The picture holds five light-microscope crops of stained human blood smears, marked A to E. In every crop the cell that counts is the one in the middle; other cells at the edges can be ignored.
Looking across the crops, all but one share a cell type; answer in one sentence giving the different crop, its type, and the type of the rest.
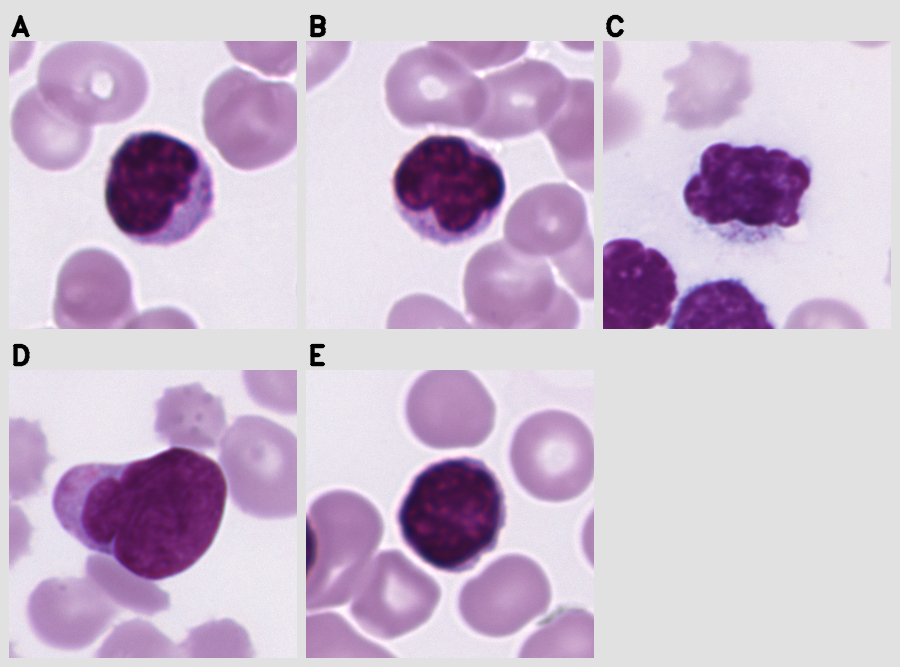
Every crop but one shows typical lymphocytes; the exception, crop D, shows a myeloblast.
